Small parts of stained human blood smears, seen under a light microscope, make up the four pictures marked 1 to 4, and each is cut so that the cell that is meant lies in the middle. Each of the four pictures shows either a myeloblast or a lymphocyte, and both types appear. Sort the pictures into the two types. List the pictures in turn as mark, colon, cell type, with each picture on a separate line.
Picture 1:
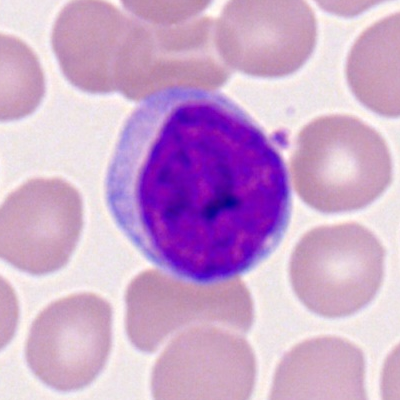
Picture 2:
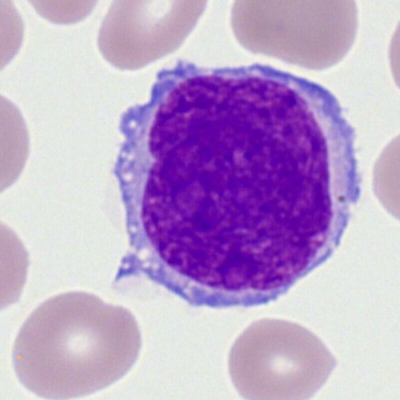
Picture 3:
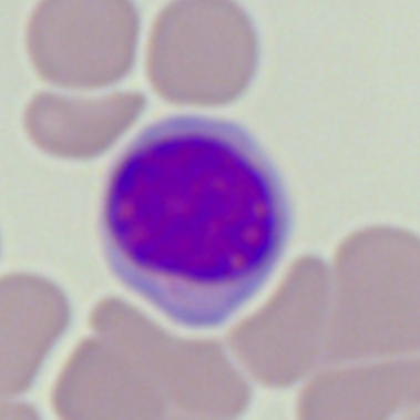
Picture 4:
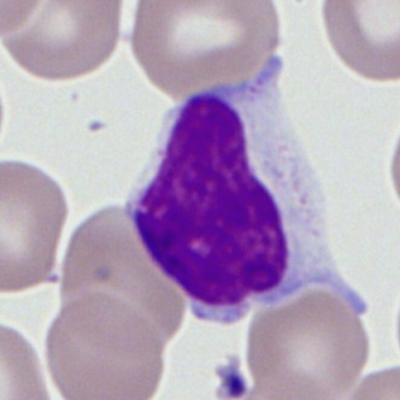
1: lymphocyte
2: myeloblast
3: lymphocyte
4: lymphocyte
